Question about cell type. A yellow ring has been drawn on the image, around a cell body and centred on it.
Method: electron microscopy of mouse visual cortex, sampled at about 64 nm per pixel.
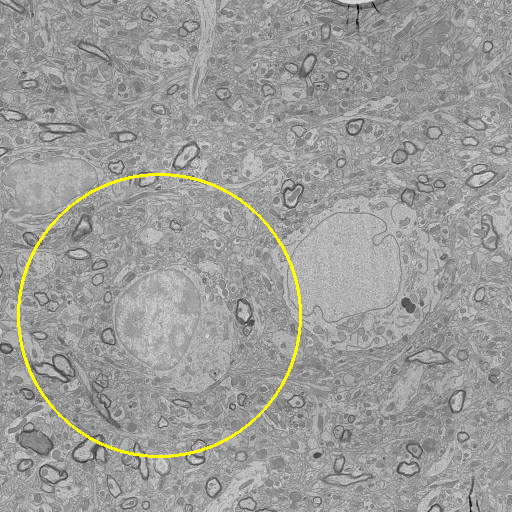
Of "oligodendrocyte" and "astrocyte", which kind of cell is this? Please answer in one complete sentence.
At the centre of the ring lies an oligodendrocyte.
